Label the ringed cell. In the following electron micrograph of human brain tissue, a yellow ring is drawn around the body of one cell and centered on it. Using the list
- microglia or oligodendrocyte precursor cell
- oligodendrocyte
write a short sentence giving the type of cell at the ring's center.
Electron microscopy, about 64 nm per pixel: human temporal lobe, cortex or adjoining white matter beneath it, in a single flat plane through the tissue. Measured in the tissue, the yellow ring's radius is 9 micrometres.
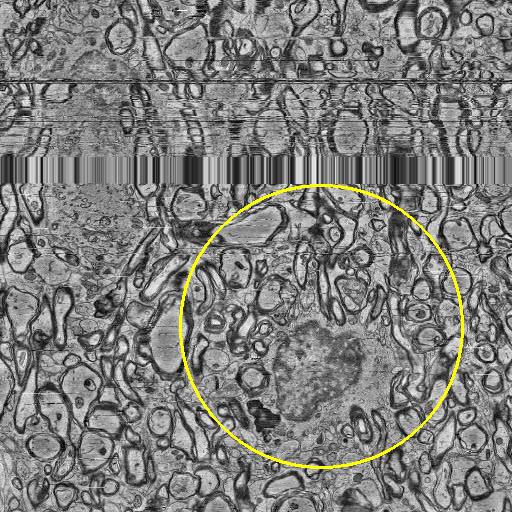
The cell body at the ring's center is that of an oligodendrocyte.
